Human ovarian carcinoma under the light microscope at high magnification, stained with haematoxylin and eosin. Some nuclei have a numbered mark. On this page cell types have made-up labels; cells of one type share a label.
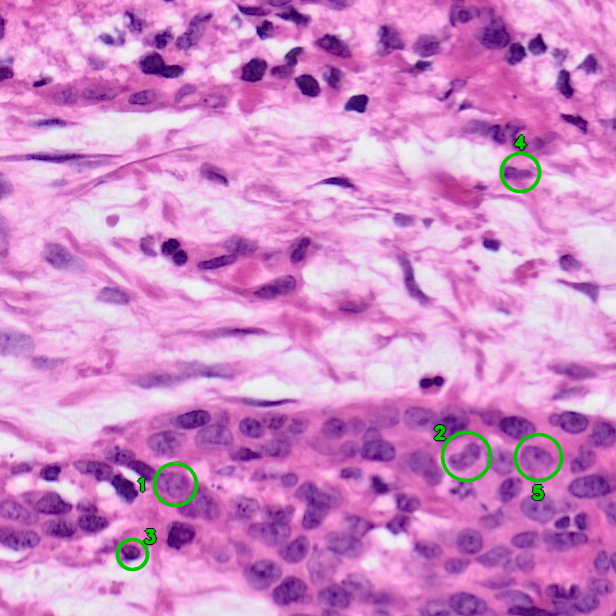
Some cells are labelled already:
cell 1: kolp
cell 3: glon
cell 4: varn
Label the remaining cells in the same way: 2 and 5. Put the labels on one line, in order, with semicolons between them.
glon; kolp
